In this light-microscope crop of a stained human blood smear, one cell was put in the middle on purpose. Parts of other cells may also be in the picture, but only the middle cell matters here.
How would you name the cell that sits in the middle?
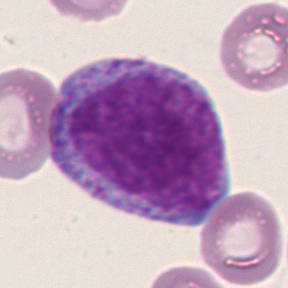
promyelocyte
